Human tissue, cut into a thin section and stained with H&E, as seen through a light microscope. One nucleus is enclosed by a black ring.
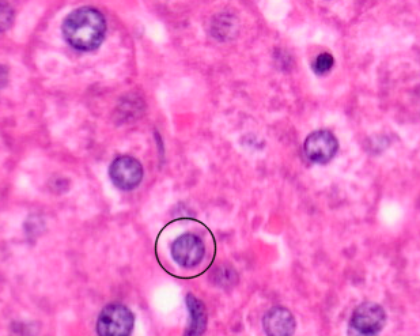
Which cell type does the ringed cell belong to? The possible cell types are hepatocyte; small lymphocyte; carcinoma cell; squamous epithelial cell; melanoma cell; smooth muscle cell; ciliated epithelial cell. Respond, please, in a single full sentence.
So far as cell type goes, the ringed cell is a hepatocyte.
